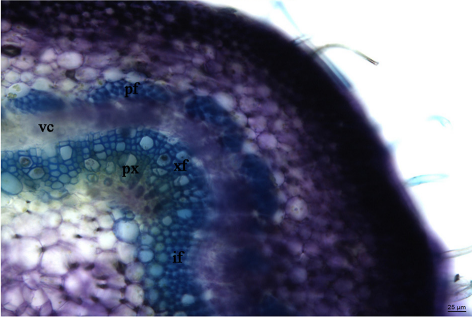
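This transverse section of a young stem shows a developing band of secondary xylem around the pith. The xylem band stains blue and contains small, thick-walled fibre cells with open lumina, arranged in short radial files. Toward the pith lie small clusters of primary xylem cells, and the pith itself consists of large, pale, rounded parenchyma cells. The outer region is made of purple, rounded cortical cells, with a few hairs projecting from the surface.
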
